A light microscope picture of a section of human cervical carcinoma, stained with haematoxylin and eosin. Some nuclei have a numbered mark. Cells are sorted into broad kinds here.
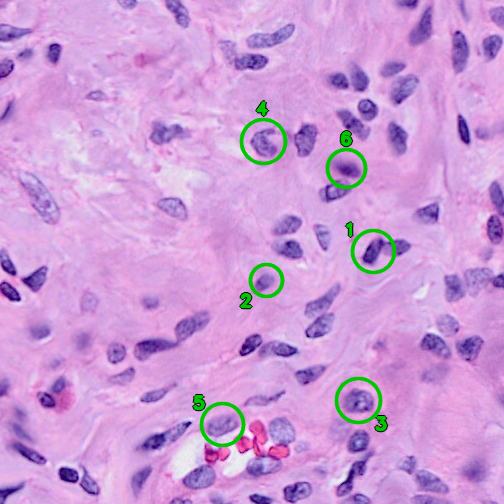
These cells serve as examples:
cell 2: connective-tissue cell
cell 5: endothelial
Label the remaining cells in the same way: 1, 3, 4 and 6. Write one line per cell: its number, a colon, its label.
1: connective-tissue cell
3: endothelial
4: connective-tissue cell
6: connective-tissue cell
